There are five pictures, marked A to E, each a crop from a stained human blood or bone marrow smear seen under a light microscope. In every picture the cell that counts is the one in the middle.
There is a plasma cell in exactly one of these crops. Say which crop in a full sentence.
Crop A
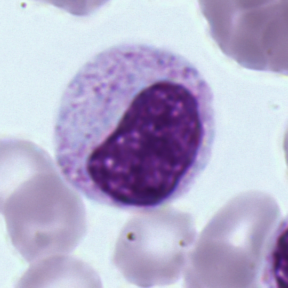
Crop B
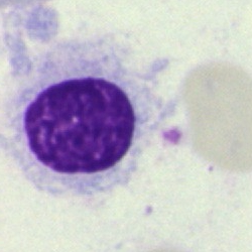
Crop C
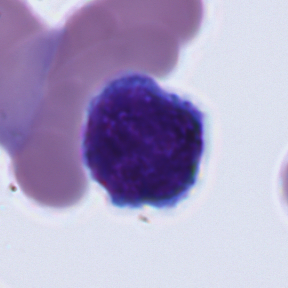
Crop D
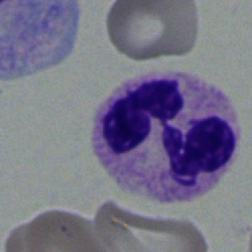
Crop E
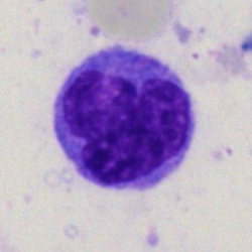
Of the labeled crops, the one with a plasma cell is crop C.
